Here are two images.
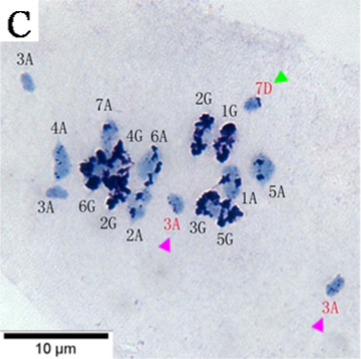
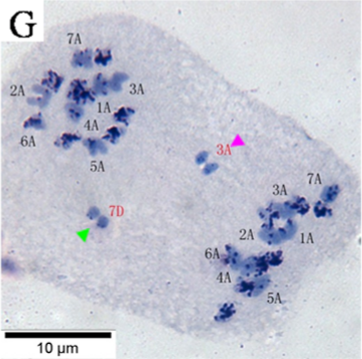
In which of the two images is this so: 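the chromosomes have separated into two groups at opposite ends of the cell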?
The second image.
